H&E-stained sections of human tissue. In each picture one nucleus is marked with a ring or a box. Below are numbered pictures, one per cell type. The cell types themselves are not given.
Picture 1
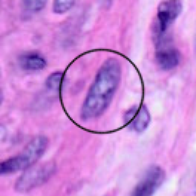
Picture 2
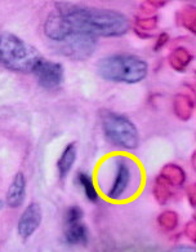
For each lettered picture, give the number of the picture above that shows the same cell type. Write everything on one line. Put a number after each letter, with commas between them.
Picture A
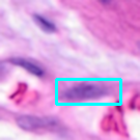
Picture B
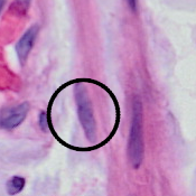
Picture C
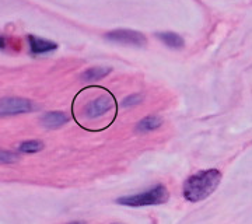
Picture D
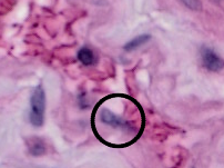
A 2, B 1, C 1, D 2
